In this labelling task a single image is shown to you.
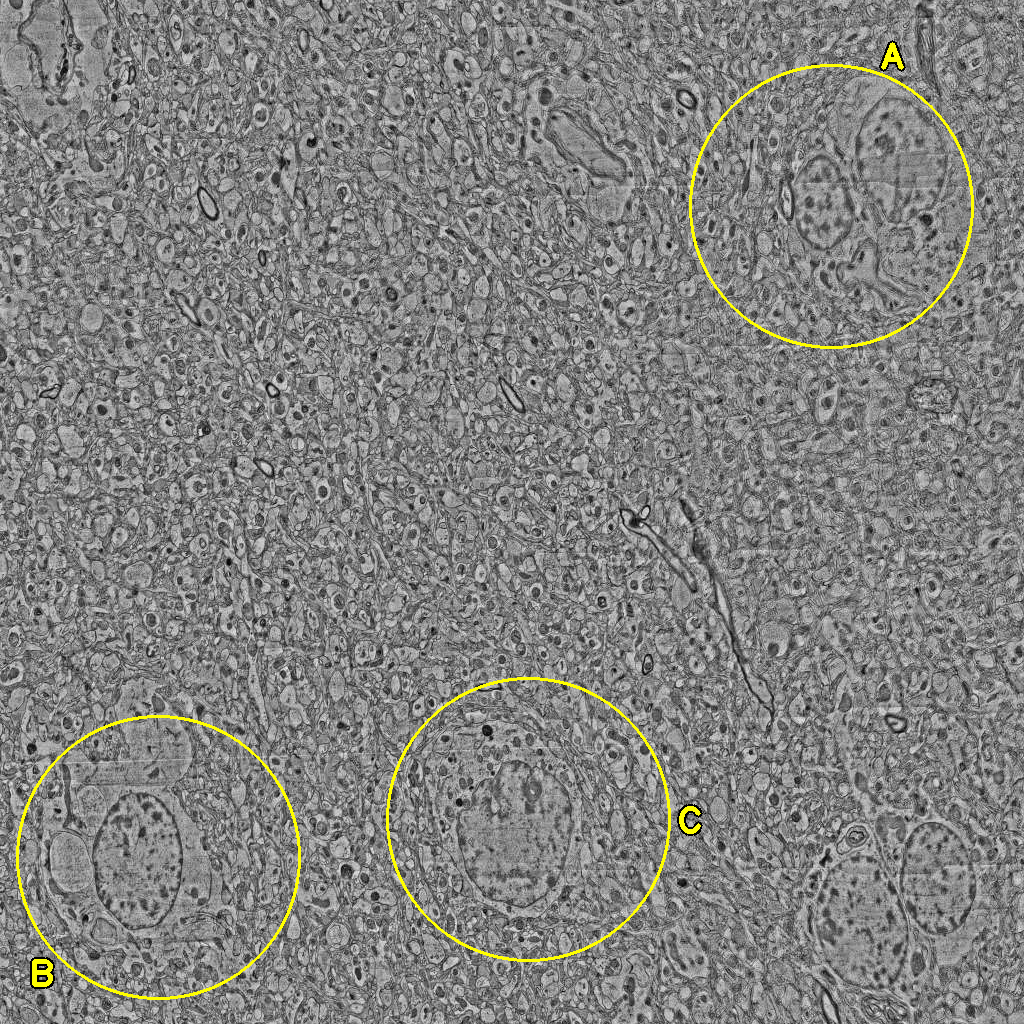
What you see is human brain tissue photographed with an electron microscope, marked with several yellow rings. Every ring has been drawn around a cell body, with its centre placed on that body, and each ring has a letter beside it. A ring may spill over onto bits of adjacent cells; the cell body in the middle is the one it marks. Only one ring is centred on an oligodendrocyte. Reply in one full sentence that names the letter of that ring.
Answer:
The ring centred on the cell asked for is the one marked A.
